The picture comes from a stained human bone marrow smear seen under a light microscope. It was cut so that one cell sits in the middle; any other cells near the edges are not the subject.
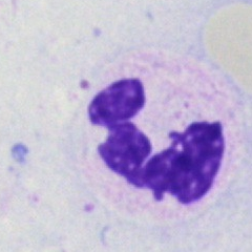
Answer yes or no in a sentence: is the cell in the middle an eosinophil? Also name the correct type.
No, that would be a segmented neutrophil, not an eosinophil, for the cell at the centre.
